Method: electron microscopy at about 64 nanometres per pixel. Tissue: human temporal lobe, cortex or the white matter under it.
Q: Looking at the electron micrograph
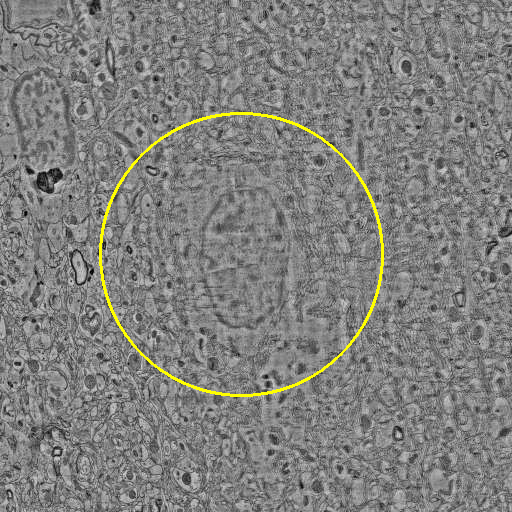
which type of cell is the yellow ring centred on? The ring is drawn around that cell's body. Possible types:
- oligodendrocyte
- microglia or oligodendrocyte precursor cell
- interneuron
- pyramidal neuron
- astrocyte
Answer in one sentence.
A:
The yellow ring is centred on an astrocyte.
